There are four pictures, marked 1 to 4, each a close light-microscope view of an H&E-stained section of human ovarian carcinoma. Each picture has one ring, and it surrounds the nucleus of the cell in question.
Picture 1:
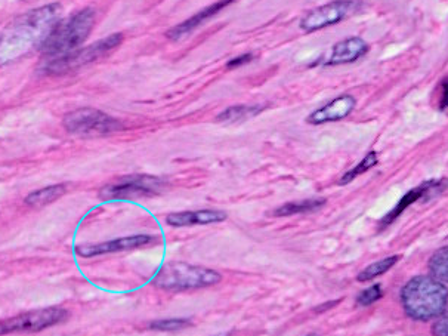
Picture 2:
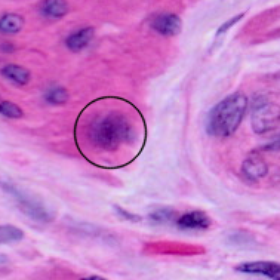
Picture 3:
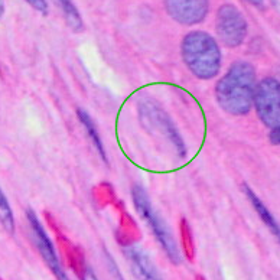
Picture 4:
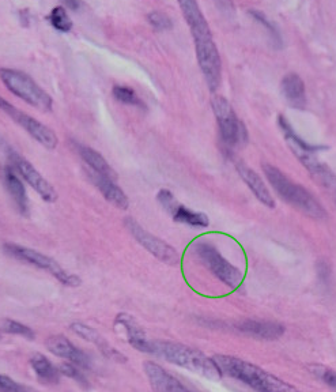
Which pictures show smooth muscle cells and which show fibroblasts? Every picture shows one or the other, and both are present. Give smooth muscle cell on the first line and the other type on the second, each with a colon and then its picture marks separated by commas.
smooth muscle cell: 2, 4
fibroblast: 1, 3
